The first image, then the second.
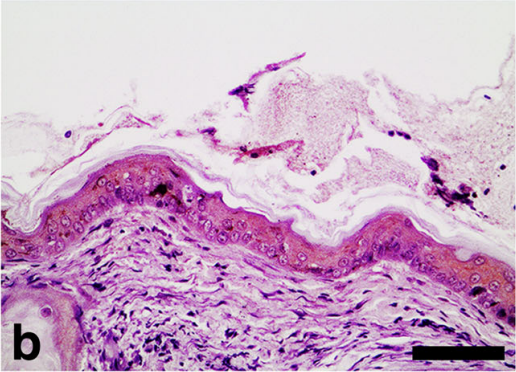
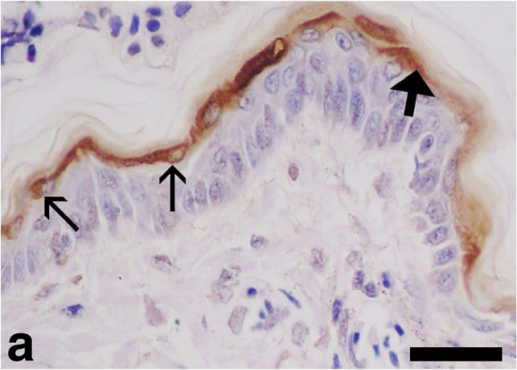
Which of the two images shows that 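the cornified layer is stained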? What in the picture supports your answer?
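The second image. Second image: a dense brown band covers the outer surface of the epithelium. First image: the outer cornified flakes are pale and unstained while the cell layers below are reddish.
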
